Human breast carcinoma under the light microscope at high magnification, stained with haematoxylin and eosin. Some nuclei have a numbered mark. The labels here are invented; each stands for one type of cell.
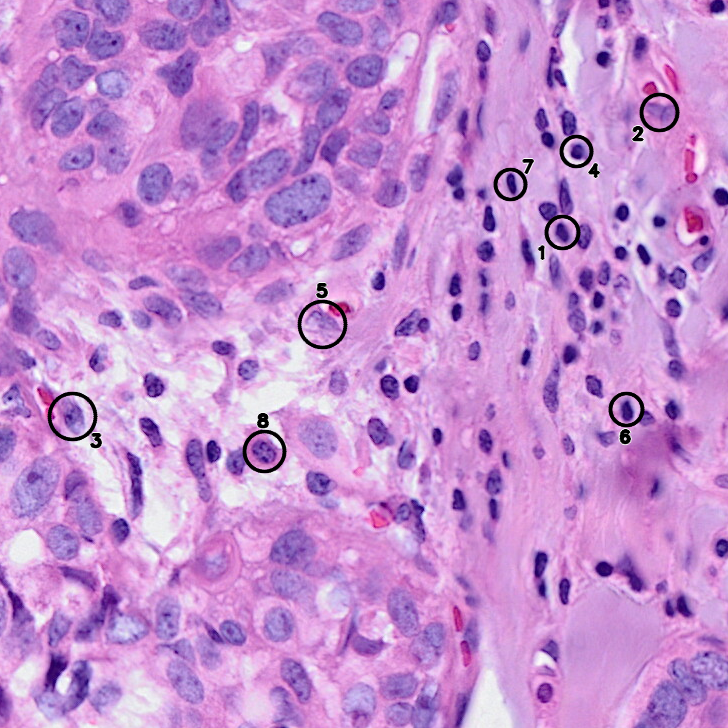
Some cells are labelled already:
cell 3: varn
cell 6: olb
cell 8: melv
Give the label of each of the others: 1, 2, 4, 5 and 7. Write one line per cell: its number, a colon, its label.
1: olb
2: varn
4: olb
5: varn
7: olb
